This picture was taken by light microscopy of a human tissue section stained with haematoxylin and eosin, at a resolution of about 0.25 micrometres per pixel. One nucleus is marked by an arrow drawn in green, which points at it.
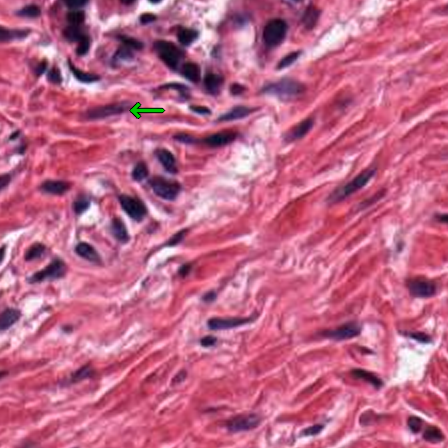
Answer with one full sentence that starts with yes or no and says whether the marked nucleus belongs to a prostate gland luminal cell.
No, a prostate gland luminal cell does not contain the marked nucleus.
